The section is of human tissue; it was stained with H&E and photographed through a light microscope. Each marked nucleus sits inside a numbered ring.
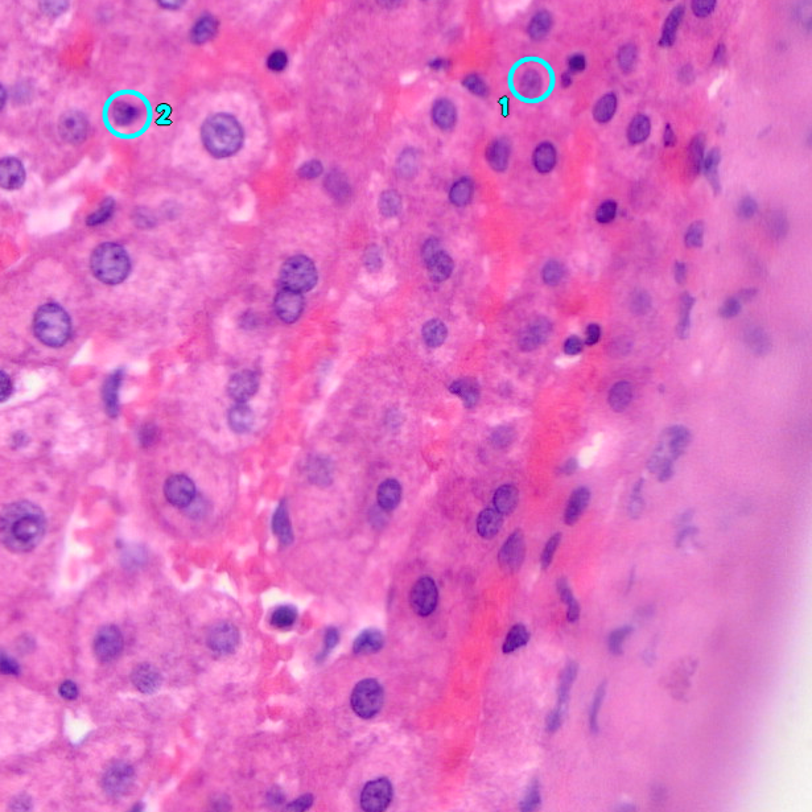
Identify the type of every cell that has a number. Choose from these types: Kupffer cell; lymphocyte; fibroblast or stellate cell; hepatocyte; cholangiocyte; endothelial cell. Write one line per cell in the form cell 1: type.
cell 1: hepatocyte
cell 2: fibroblast or stellate cell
